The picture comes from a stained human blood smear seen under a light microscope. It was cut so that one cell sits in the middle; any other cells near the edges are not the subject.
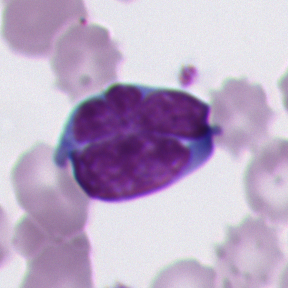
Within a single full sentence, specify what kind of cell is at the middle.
By type, the central cell of the crop is a typical lymphocyte.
